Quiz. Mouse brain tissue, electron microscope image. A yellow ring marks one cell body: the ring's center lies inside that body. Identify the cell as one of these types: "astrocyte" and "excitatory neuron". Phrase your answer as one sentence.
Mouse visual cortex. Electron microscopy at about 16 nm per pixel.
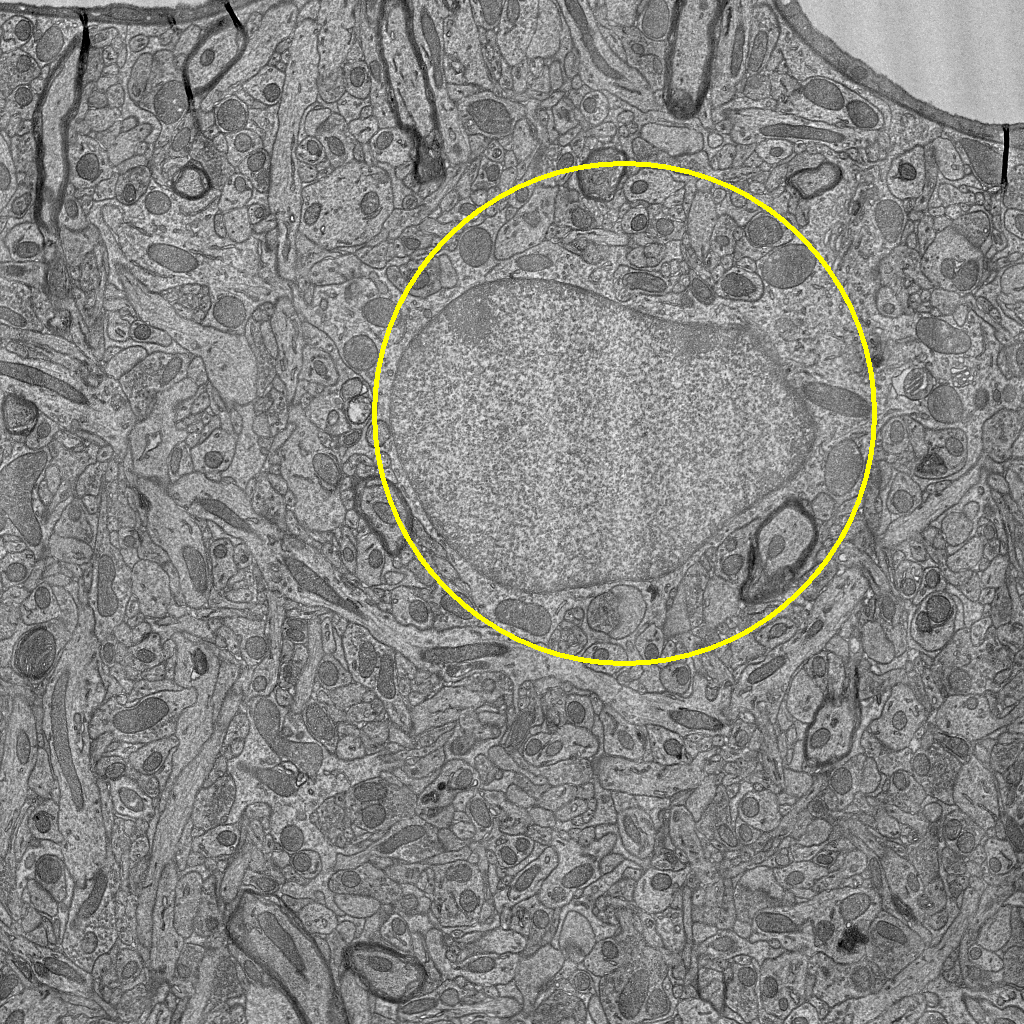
At the center of the ring sits an astrocyte.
